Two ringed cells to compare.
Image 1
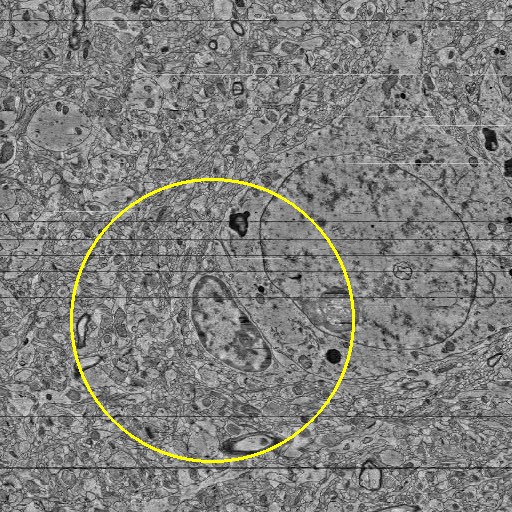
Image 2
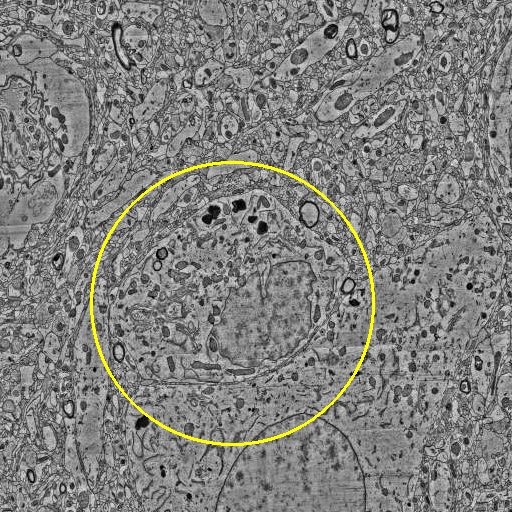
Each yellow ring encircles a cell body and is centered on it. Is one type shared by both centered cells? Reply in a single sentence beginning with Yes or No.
No, two types are found among the cells at the centers of the rings.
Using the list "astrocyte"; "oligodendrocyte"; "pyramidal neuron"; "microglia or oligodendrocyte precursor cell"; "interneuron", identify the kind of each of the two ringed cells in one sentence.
The first is a microglial cell or oligodendrocyte precursor cell and the second is an interneuron.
